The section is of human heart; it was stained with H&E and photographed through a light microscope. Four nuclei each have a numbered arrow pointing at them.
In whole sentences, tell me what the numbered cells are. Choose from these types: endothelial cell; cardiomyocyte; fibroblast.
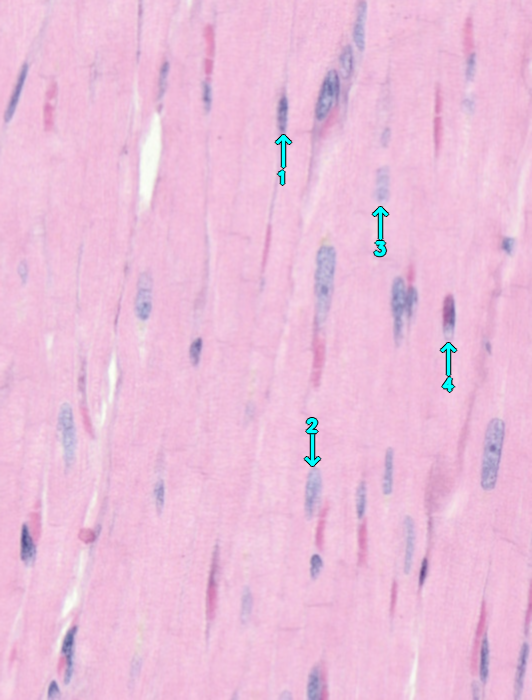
Cell 1 is an endothelial cell, cell 2 is a cardiomyocyte, cell 3 is a cardiomyocyte and cell 4 is an endothelial cell.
